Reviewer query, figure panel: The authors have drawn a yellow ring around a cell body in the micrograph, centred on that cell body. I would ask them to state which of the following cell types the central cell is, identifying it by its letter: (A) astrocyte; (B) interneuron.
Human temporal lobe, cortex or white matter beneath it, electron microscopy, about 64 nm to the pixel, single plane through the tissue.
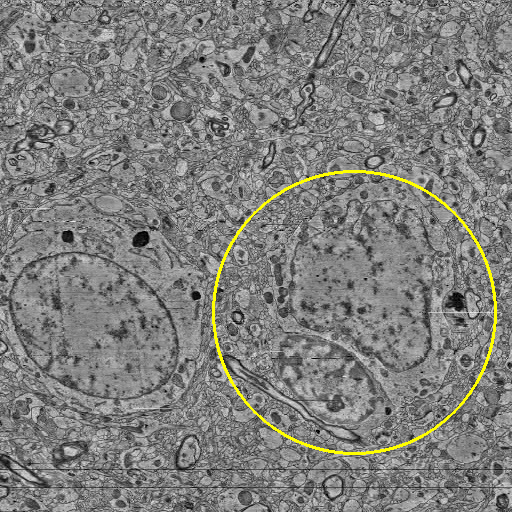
B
